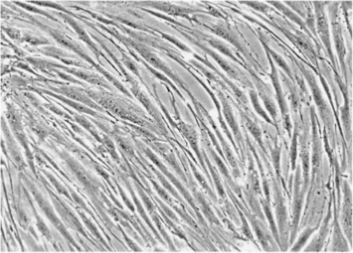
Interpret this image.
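The cells are elongated and spindle-shaped, resembling fibroblasts, with tapering ends. They lie close together and are aligned in parallel, forming streams and gentle whorls across the field. Cell borders show bright halos where cells meet. The cells form a flat monolayer without piling into clumps, and no rounded or fat-laden cells are seen.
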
